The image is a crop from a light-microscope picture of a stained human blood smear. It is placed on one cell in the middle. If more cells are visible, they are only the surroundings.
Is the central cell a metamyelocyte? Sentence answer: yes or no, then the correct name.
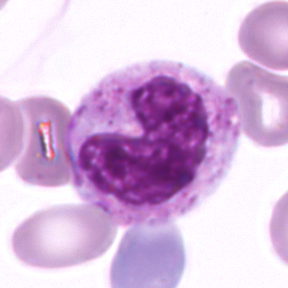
Yes, centred in the crop is a metamyelocyte.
